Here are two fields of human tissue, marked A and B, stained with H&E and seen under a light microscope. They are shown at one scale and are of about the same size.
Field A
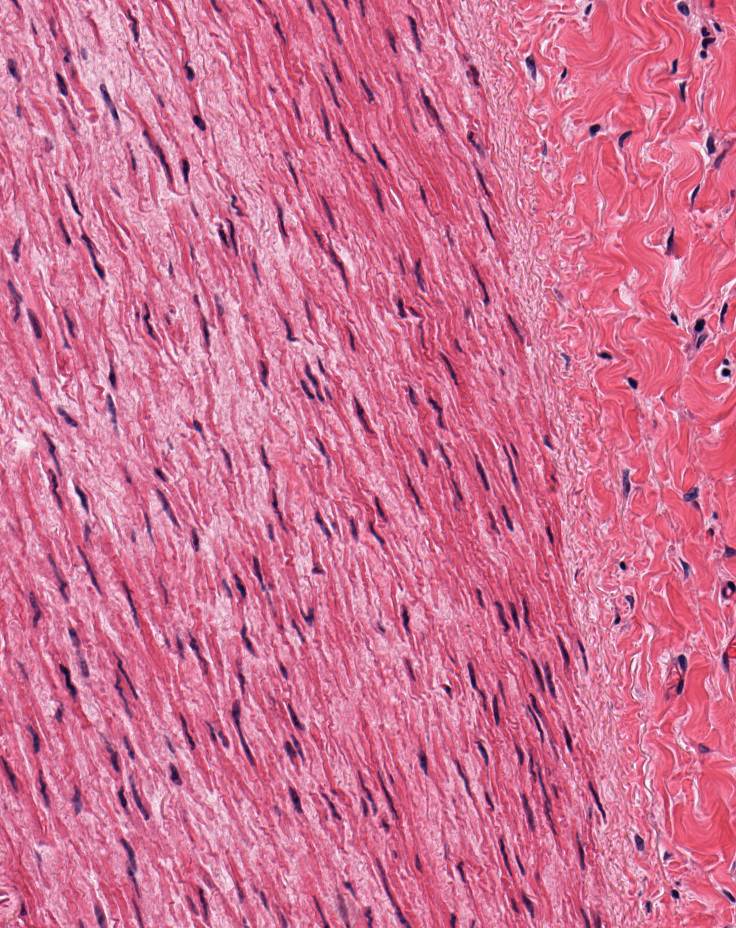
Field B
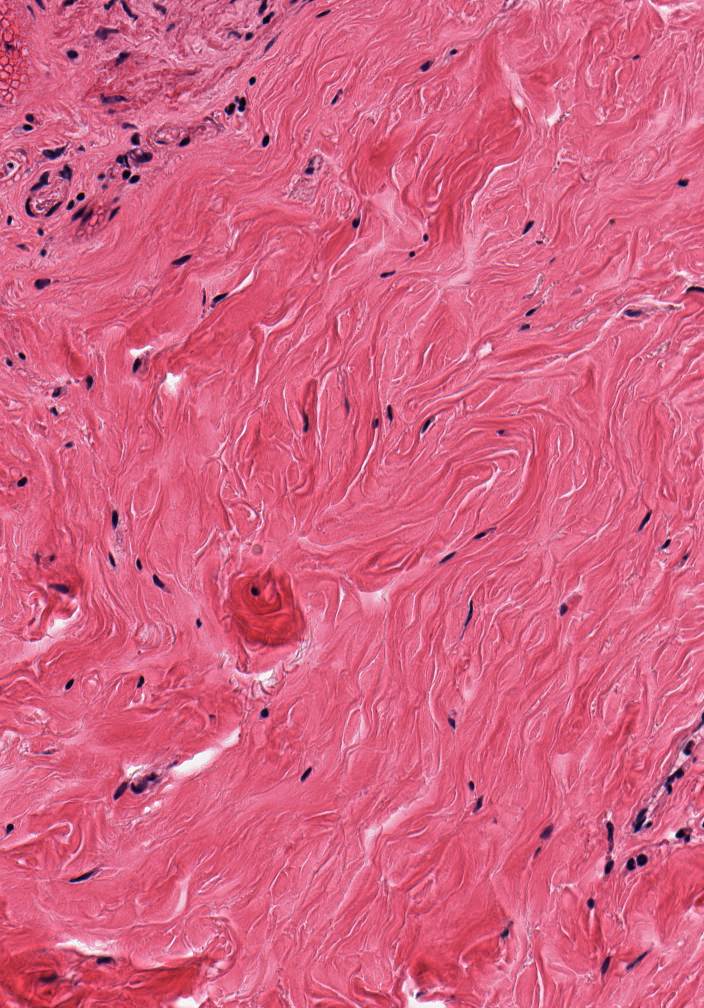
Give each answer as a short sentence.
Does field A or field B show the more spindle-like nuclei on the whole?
Longer, more slender nuclei lie in field A.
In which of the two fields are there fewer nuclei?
There are fewer nuclei in field B.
